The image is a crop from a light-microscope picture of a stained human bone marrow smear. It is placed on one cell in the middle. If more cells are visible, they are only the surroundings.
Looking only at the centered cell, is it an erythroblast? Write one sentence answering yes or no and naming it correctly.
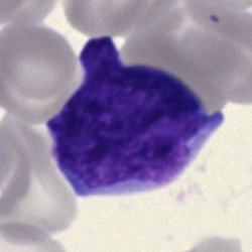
No, the central cell is identified not as an erythroblast but as a blast.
